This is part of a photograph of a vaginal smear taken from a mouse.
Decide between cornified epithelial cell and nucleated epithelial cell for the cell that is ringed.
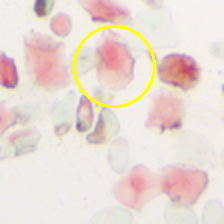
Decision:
I take the ringed cell for a cornified epithelial cell.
